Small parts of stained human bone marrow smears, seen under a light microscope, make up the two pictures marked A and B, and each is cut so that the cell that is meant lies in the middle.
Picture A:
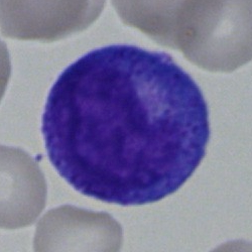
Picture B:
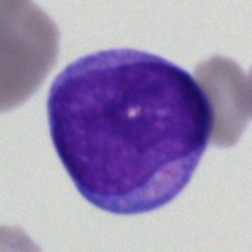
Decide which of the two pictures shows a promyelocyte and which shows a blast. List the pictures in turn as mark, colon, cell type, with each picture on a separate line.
A: promyelocyte
B: blast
